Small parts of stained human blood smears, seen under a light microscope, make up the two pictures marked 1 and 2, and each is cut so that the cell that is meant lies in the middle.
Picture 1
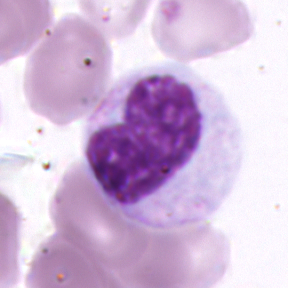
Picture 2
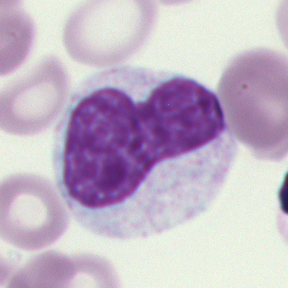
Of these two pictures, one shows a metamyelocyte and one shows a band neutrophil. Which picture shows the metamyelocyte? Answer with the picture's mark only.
1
